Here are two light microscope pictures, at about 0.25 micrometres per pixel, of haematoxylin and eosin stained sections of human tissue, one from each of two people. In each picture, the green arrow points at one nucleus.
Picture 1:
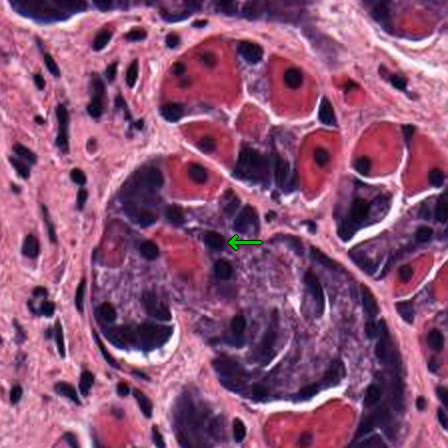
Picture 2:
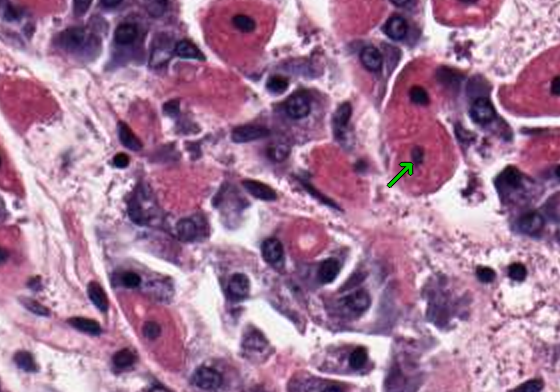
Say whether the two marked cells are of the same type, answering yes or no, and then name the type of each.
No, the first is a chief cell and the second a parietal cell.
